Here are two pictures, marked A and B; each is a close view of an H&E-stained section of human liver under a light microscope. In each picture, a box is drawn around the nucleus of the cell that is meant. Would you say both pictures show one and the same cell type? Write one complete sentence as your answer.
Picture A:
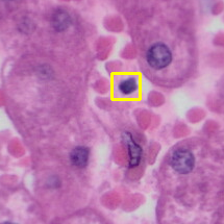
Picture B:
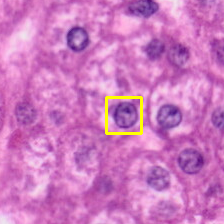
No; the cell in picture A is a lymphocyte, while the one in picture B is a hepatocyte.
